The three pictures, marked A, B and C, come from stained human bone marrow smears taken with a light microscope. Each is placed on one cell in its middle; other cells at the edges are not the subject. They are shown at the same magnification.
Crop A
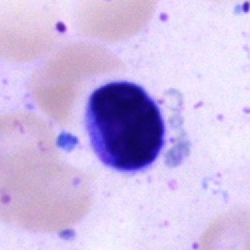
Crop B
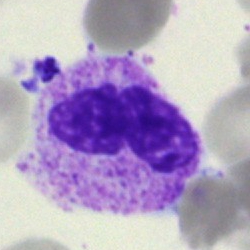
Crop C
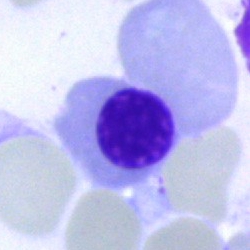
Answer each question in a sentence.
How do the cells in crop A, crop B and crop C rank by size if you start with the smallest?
Smallest first: A, C, B.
